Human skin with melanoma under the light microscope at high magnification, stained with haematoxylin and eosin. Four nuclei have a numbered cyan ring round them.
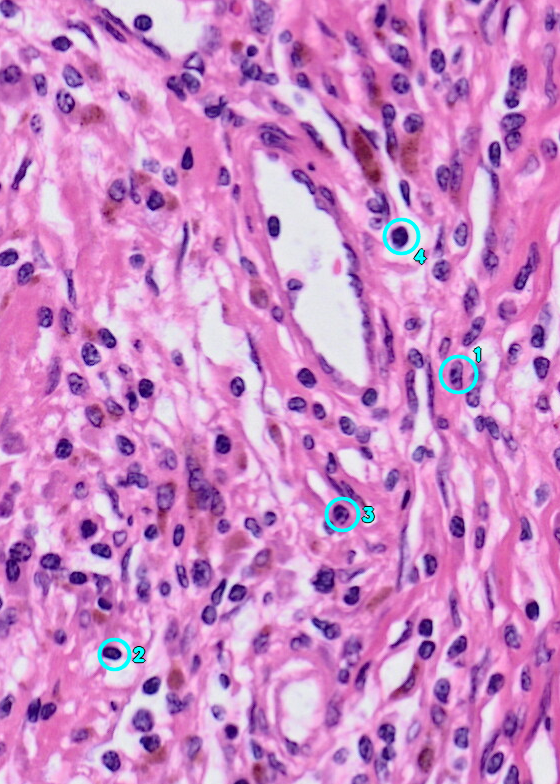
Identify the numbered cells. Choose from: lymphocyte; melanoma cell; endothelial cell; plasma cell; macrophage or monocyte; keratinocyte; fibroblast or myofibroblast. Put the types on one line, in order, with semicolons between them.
lymphocyte; lymphocyte; plasma cell; lymphocyte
